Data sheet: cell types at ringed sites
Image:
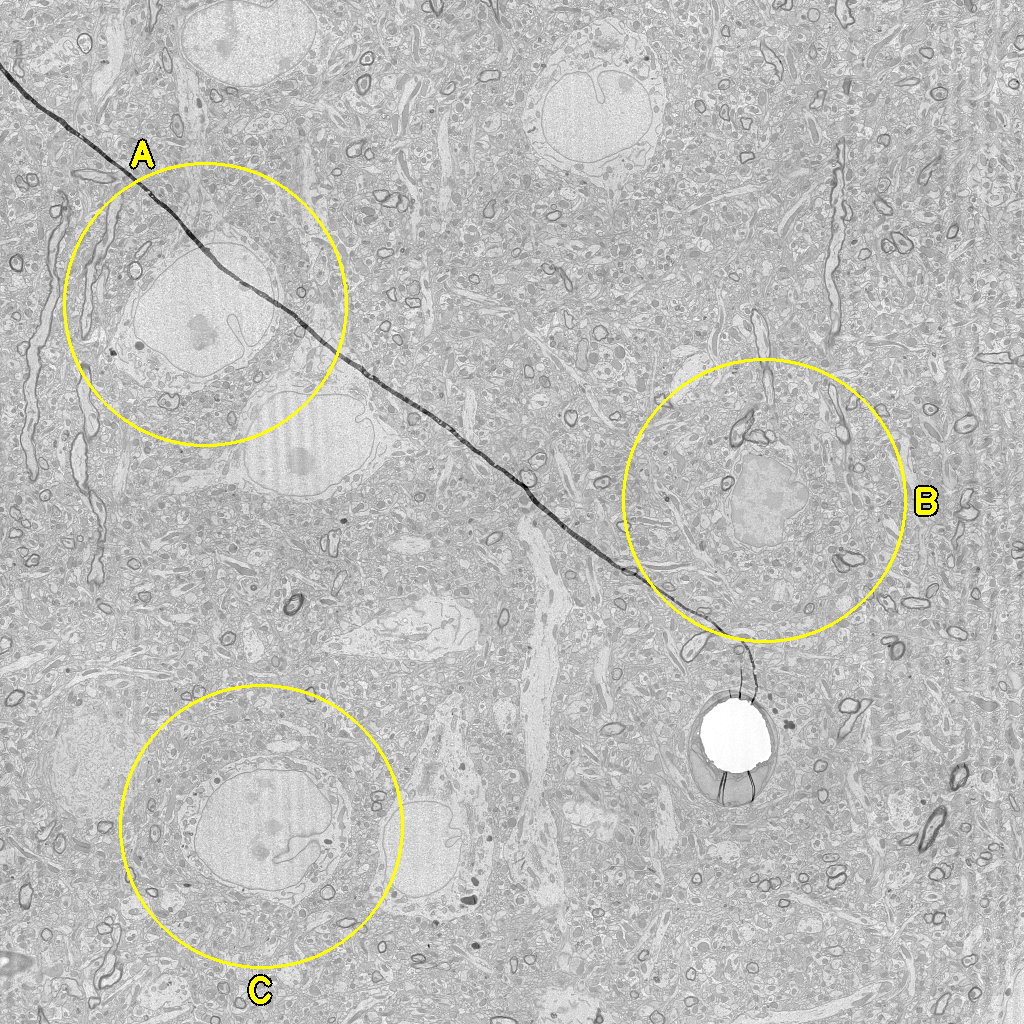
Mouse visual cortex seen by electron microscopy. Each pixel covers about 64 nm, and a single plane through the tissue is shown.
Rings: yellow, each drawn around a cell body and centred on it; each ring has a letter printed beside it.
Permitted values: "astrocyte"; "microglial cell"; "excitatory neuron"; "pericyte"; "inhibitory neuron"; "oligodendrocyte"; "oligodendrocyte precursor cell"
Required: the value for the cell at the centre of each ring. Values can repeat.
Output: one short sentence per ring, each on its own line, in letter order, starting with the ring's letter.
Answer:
Ring A has an excitatory neuron at its centre.
Ring B has a microglial cell at its centre.
Ring C has an inhibitory neuron at its centre.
